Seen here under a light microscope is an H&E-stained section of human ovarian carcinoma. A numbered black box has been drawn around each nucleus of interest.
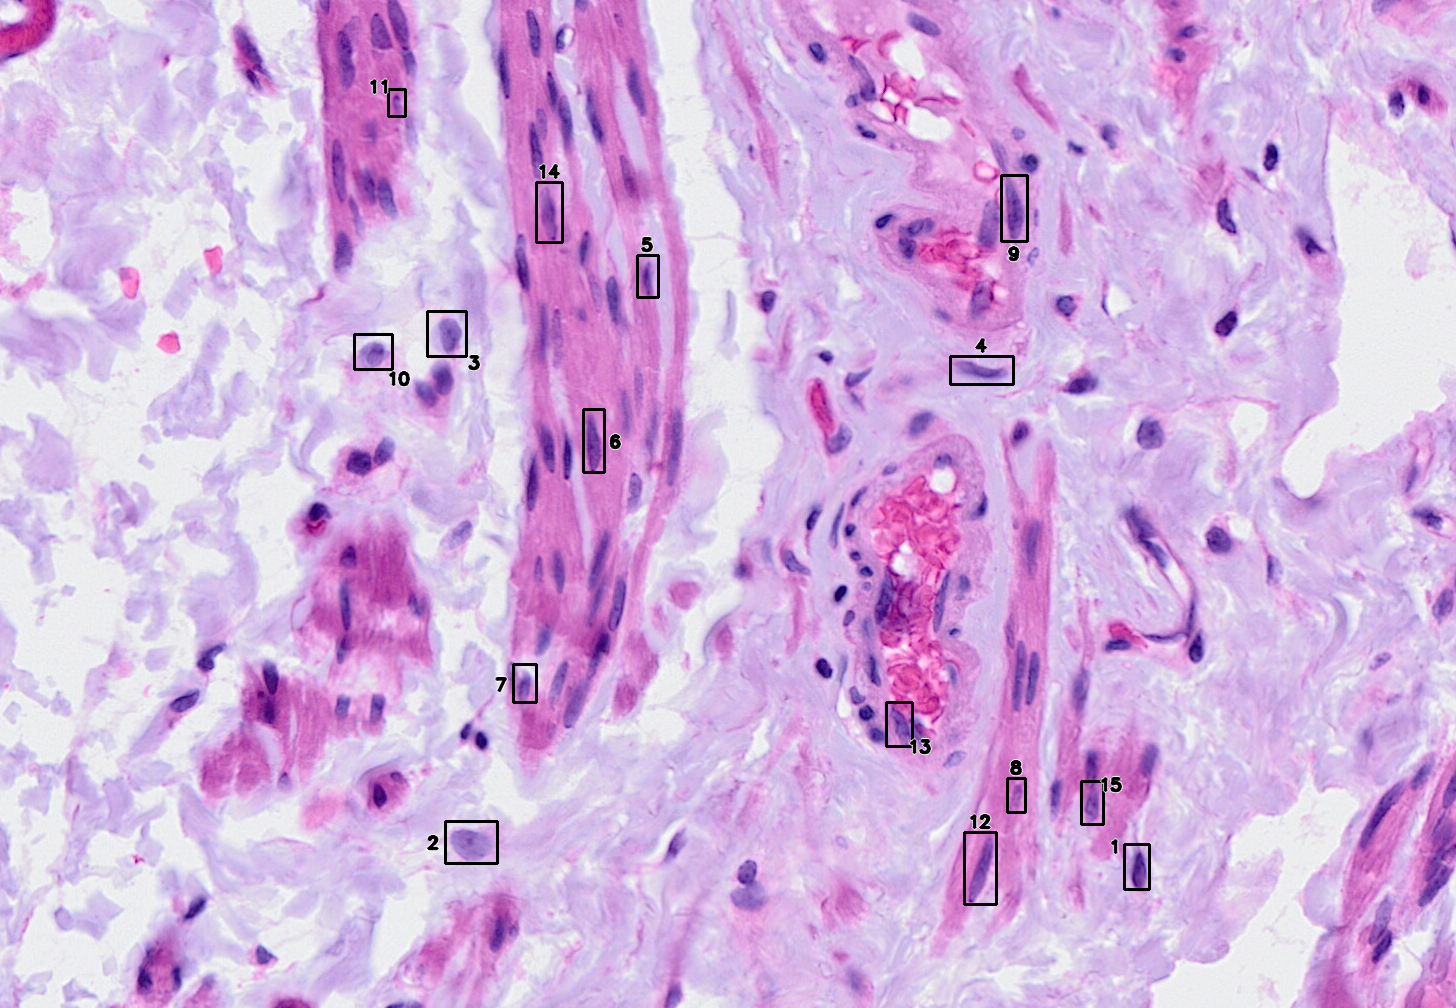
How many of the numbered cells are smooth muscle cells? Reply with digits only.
8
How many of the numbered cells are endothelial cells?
2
